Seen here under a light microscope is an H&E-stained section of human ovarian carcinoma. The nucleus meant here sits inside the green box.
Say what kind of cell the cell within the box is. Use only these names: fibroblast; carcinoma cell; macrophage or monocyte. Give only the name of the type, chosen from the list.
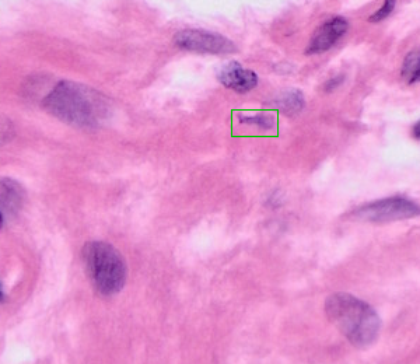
fibroblast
